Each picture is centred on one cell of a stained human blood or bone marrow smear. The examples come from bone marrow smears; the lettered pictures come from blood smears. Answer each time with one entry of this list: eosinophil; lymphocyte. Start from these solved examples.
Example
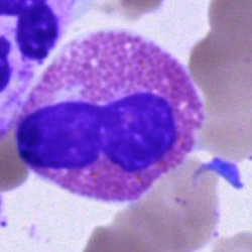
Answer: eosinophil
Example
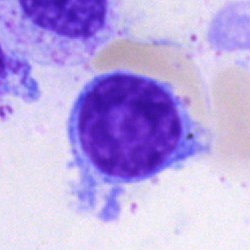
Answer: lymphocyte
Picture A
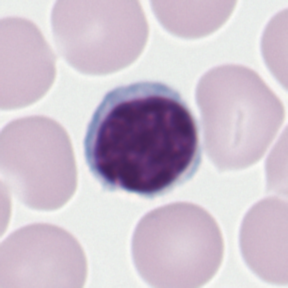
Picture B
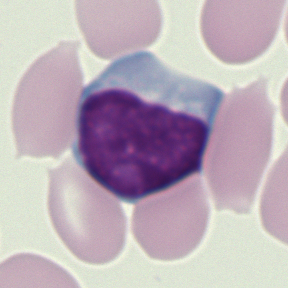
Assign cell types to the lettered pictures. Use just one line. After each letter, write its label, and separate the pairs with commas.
A lymphocyte, B lymphocyte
